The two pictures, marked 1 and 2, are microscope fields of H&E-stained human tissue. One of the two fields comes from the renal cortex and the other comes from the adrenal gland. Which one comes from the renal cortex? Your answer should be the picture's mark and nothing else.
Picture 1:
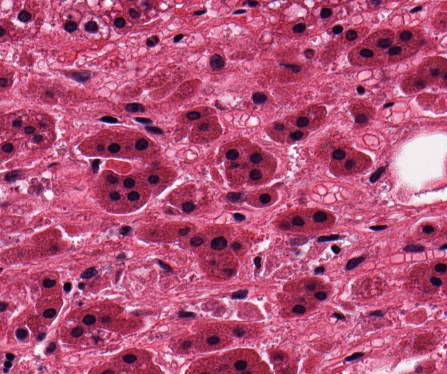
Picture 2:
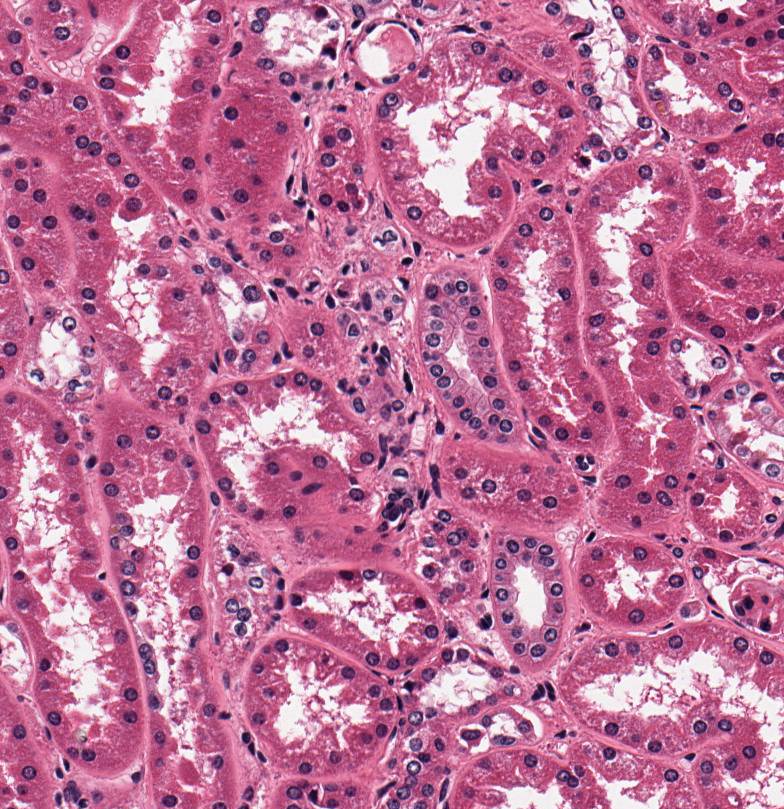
2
